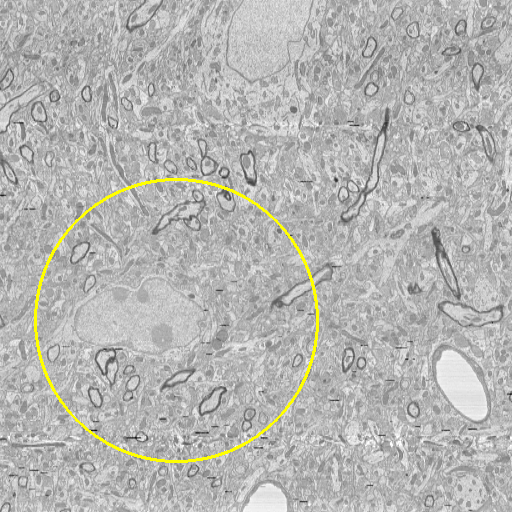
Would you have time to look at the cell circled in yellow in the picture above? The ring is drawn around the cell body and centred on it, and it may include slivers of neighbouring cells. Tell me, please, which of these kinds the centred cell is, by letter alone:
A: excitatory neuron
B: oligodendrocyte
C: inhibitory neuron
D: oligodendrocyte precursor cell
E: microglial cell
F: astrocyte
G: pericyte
D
